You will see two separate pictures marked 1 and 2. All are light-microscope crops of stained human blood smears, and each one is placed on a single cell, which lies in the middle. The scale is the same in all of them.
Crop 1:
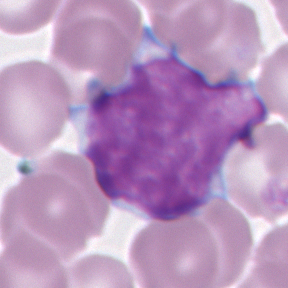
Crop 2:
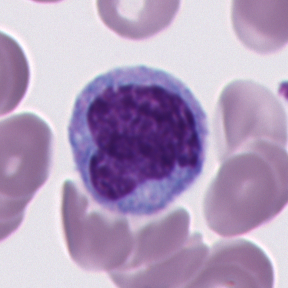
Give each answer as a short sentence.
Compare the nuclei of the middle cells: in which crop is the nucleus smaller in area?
It is the nucleus in crop 2; the one in crop 1 has about 2 times its area.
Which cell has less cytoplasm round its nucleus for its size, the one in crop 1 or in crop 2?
It is the cell in crop 1 that is filled more by its nucleus.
